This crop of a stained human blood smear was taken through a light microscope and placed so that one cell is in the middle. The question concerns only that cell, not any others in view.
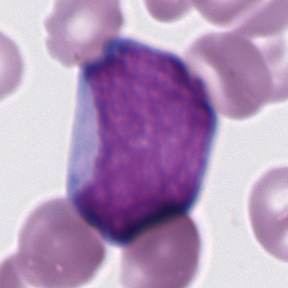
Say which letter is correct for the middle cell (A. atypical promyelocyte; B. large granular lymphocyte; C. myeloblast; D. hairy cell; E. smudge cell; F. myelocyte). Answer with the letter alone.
C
